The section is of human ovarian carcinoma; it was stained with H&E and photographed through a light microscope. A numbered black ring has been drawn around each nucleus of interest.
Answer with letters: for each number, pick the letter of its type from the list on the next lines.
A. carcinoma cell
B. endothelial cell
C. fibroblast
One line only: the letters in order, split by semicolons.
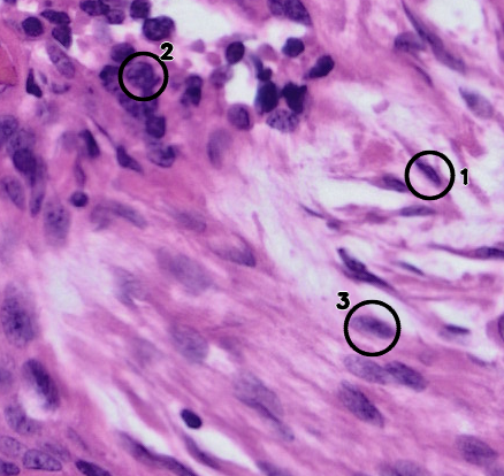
C; A; C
